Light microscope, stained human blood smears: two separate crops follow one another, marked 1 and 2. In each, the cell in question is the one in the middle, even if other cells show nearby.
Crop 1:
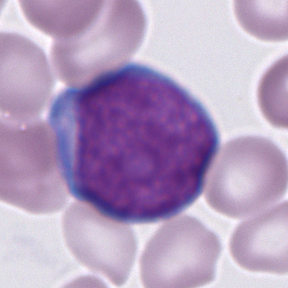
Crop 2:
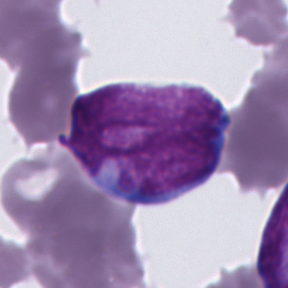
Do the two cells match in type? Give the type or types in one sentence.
Yes, both crops show myeloblasts, and the two match.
